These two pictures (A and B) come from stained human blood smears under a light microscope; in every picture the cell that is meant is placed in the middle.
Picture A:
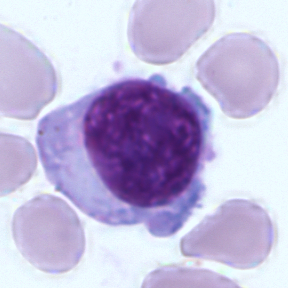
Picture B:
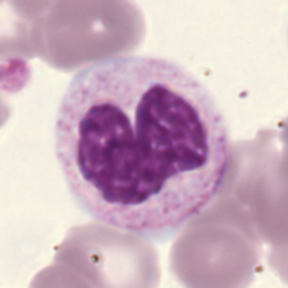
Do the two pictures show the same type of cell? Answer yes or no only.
no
